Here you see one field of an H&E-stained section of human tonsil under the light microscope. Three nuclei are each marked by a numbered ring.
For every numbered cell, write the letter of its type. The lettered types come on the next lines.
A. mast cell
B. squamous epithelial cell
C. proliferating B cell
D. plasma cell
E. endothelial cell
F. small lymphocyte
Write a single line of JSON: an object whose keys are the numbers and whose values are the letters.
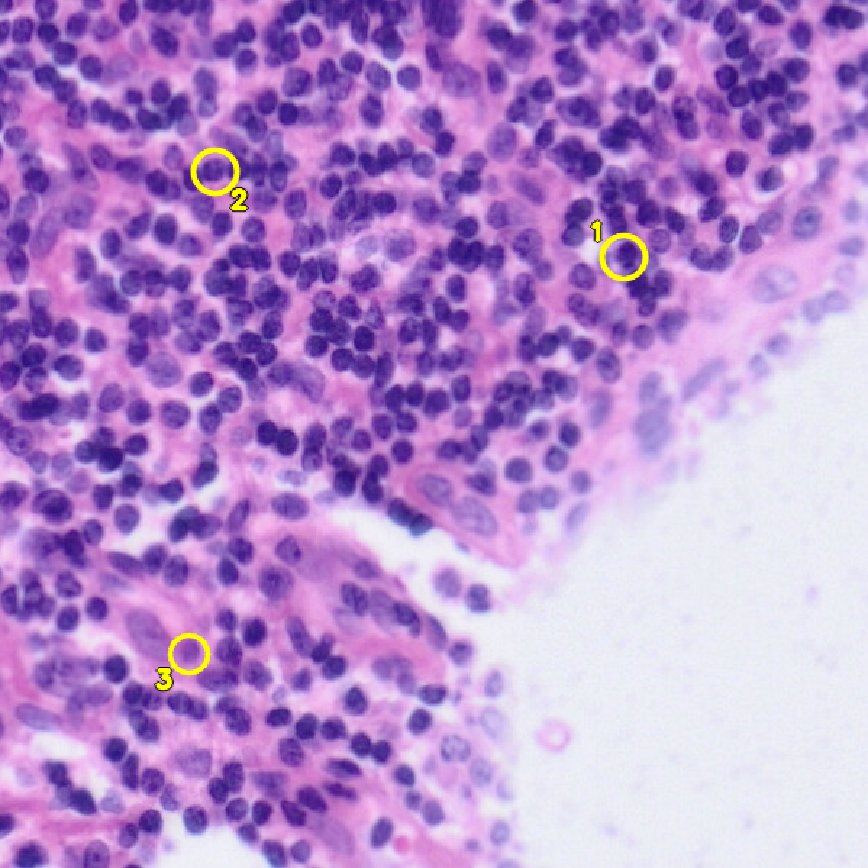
{"1": "F", "2": "F", "3": "E"}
